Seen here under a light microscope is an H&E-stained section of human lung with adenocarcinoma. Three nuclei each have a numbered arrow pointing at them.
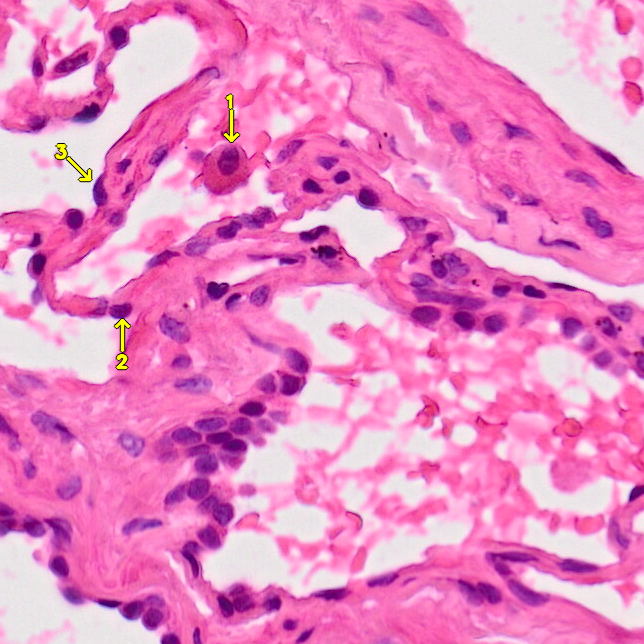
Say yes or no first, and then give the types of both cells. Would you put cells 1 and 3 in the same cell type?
No, cell 1 is a macrophage or monocyte and cell 3 is a type I pneumocyte.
